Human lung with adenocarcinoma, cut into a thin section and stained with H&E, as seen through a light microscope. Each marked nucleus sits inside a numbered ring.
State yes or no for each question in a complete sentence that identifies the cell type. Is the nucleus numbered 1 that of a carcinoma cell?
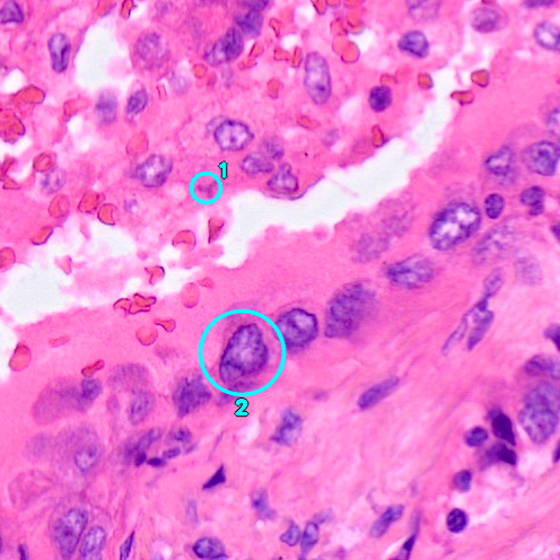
No, the cell tagged 1 is a macrophage or monocyte, and not a carcinoma cell.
